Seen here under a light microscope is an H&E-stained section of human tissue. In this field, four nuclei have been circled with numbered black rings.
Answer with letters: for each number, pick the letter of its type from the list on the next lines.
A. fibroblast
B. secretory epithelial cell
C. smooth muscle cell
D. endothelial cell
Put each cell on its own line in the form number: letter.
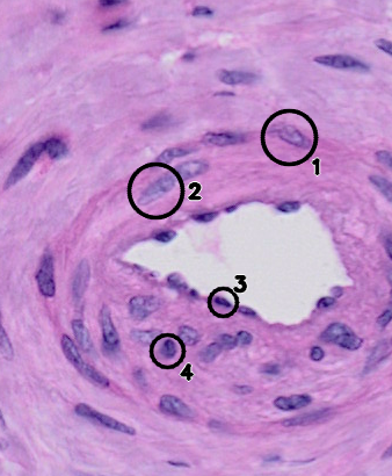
1: C
2: C
3: D
4: C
